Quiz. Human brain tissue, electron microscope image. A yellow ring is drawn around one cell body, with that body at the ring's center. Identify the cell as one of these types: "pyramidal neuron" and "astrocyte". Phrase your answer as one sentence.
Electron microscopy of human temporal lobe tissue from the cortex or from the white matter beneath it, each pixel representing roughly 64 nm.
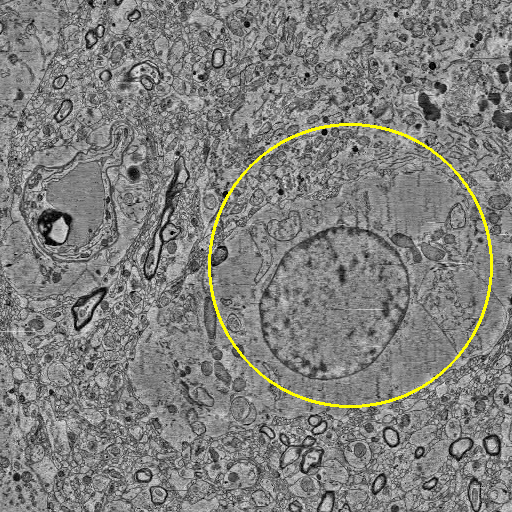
At the center of the ring sits an astrocyte.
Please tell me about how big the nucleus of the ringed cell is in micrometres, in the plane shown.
The nucleus has a long axis of about 10 micrometres and a short axis of about 9 micrometres in this plane.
